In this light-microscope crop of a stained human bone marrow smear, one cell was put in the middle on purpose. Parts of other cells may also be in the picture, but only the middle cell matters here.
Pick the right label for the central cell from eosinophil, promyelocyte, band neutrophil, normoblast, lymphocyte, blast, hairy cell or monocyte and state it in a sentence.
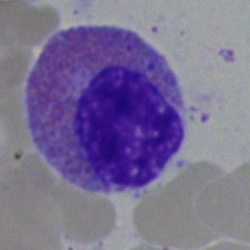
In this crop, the cell at the very middle is an eosinophil.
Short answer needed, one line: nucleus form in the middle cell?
What stands out is a nucleus forming one compact round, oval or kidney-shaped mass.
